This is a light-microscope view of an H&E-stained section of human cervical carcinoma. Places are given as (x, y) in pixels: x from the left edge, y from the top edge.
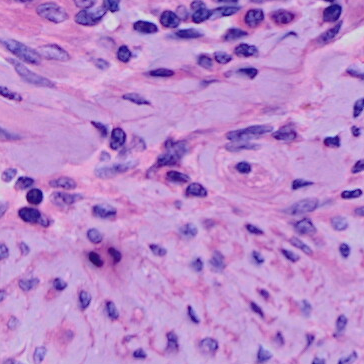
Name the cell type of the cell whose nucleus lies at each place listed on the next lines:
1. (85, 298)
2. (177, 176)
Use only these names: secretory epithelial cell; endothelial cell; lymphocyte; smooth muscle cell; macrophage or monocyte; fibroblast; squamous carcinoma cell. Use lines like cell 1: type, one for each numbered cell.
cell 1: smooth muscle cell
cell 2: lymphocyte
